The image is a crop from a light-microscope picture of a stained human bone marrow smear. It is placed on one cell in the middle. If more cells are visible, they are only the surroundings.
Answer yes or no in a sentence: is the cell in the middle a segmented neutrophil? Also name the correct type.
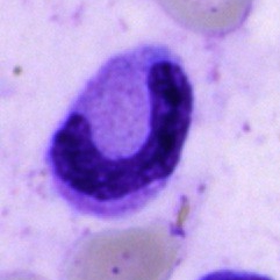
No, the cell in the middle is categorised as a band neutrophil, not a segmented neutrophil.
